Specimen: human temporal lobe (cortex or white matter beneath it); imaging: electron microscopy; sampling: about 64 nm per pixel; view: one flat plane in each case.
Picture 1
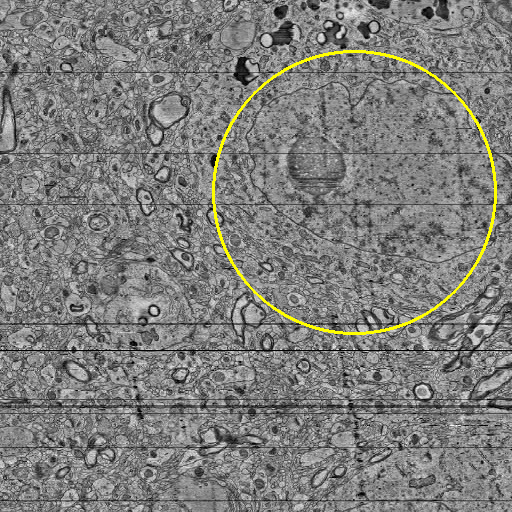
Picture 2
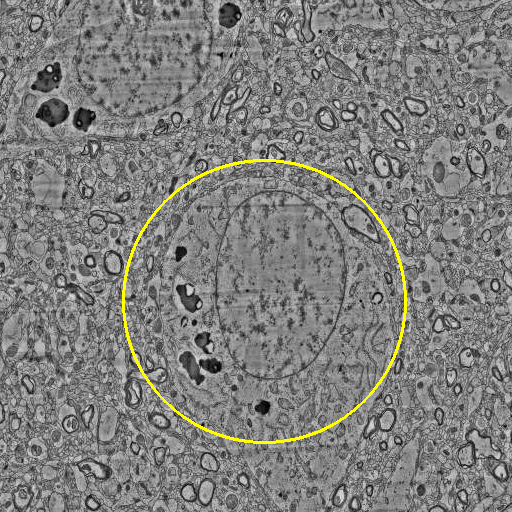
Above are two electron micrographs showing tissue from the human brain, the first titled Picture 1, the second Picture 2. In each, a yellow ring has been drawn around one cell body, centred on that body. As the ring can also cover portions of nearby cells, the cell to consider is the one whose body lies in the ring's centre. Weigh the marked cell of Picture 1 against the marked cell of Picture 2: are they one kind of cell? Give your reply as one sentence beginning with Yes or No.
Yes, the two cells sitting at the ring centres in the pictures are of one kind.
